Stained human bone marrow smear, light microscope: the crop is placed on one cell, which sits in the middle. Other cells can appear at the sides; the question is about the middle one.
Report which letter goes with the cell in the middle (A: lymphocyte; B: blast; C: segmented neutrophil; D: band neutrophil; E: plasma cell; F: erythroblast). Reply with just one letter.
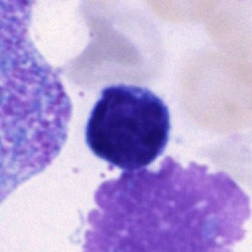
A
